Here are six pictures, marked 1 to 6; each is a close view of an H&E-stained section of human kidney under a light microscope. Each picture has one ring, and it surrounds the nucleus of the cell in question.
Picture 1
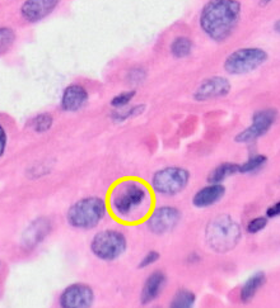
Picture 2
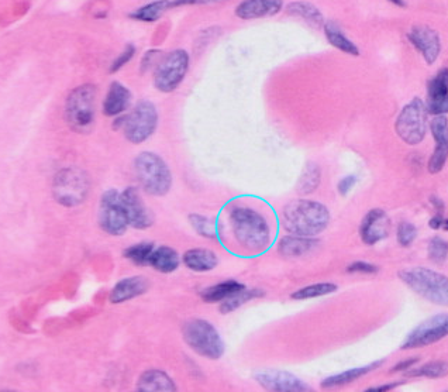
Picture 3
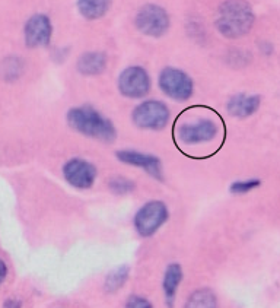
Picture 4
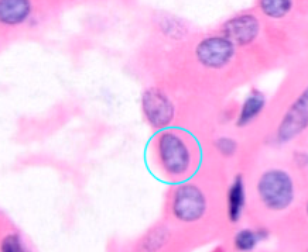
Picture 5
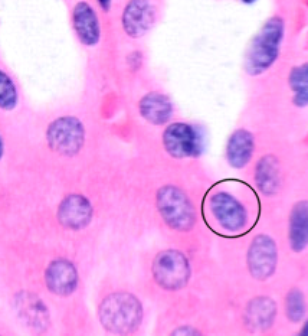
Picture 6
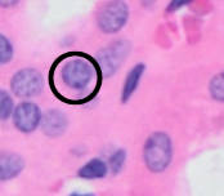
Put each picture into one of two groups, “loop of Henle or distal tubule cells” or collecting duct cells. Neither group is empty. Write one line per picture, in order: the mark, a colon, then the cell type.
1: loop of Henle or distal tubule cell
2: collecting duct cell
3: loop of Henle or distal tubule cell
4: loop of Henle or distal tubule cell
5: loop of Henle or distal tubule cell
6: collecting duct cell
